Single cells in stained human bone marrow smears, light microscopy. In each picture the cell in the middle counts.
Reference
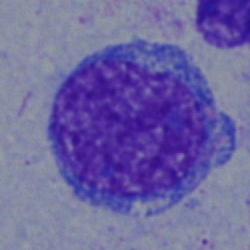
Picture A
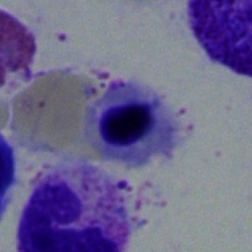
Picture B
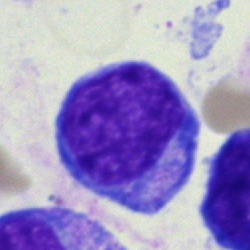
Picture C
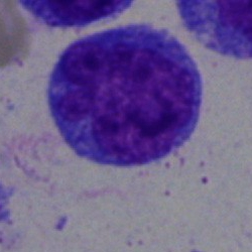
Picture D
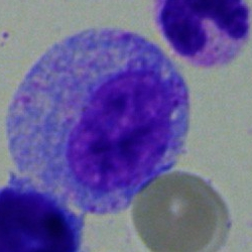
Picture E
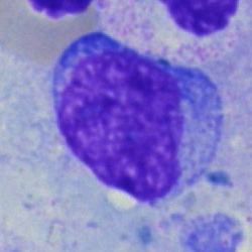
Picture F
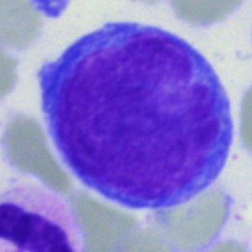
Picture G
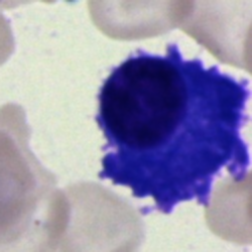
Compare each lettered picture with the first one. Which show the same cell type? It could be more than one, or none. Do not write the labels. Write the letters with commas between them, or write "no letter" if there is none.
B, C, E, F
